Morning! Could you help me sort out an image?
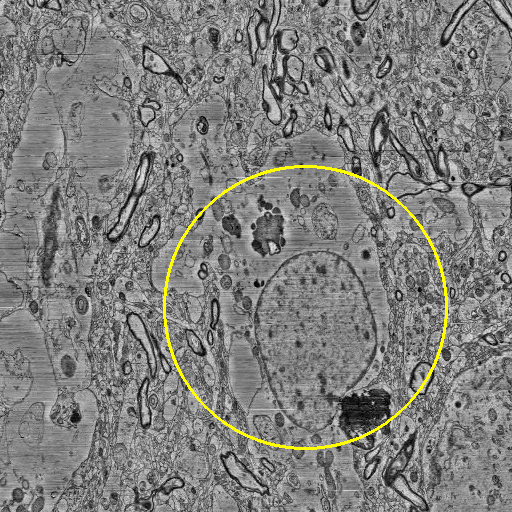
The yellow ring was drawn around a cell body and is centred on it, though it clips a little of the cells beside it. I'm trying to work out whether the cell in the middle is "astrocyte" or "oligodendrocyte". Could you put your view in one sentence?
The ringed cell body is that of an astrocyte.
